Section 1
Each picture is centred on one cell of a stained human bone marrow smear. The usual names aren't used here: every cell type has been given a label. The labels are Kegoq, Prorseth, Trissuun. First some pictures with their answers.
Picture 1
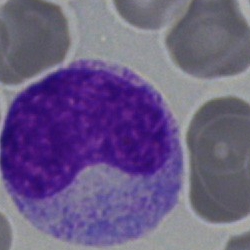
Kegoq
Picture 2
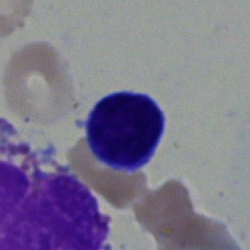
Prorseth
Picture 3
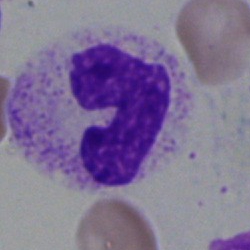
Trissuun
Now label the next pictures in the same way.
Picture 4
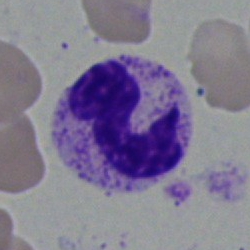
Trissuun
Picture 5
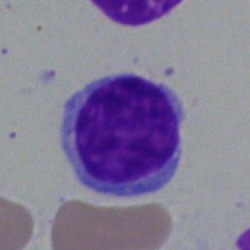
Prorseth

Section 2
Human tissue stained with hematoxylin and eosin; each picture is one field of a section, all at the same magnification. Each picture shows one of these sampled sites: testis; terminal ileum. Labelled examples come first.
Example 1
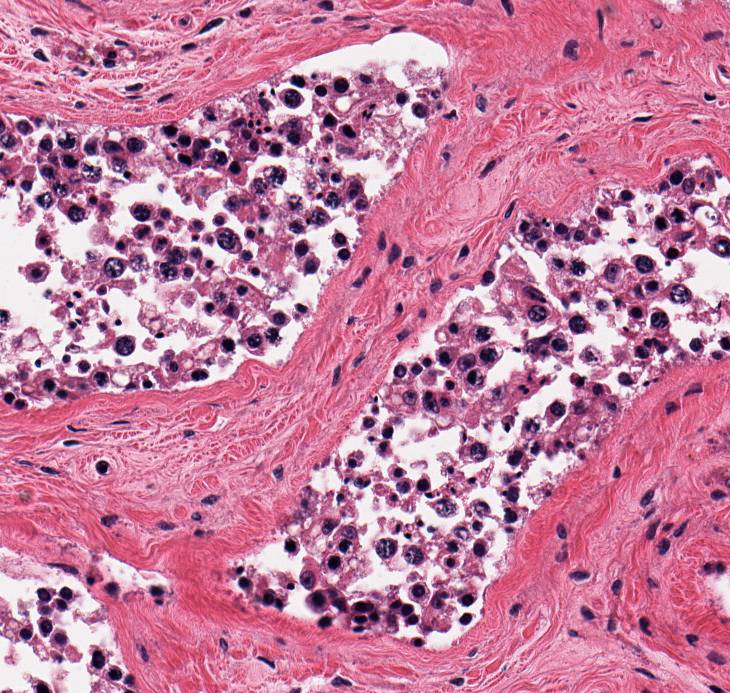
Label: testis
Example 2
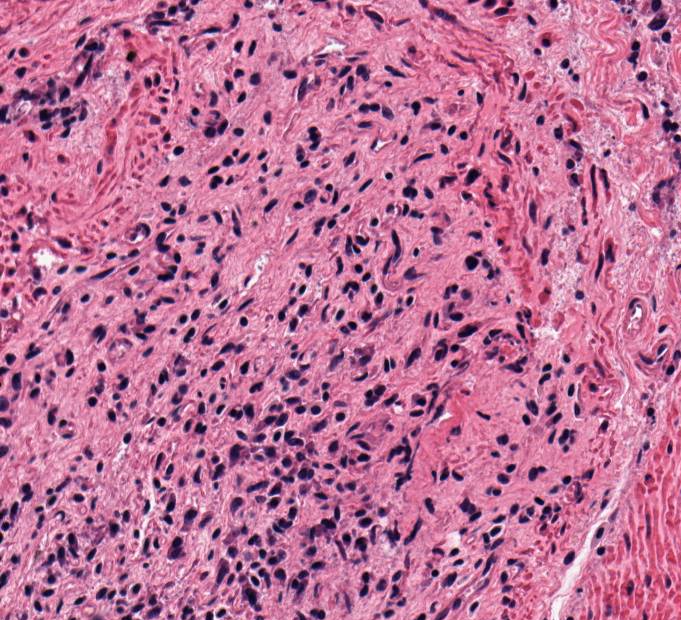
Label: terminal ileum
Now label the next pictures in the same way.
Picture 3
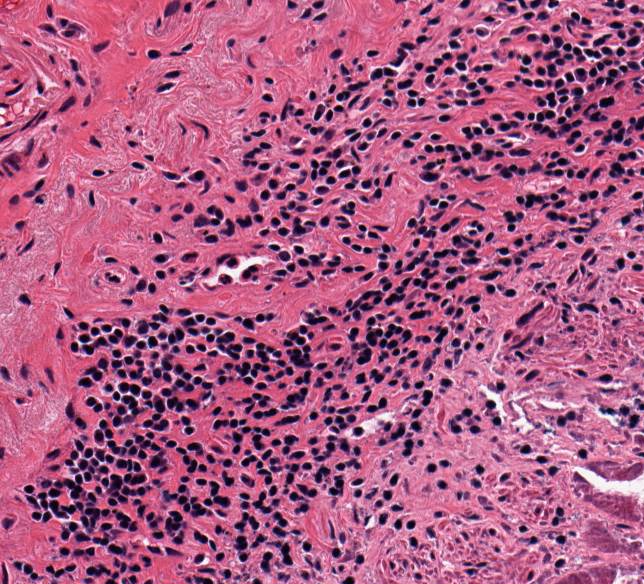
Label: terminal ileum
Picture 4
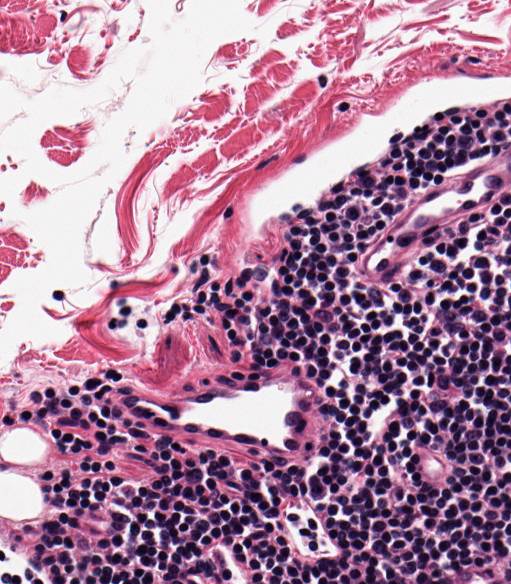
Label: terminal ileum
